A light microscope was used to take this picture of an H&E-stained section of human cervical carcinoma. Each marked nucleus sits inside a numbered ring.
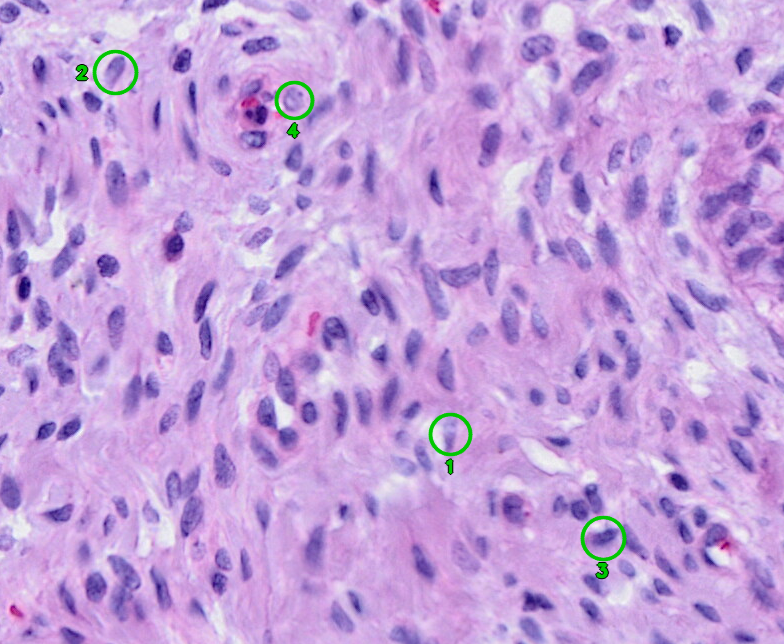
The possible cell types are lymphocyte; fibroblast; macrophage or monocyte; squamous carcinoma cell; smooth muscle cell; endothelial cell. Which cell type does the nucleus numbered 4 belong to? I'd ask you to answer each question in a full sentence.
Number 4 among the marked cells is an endothelial cell.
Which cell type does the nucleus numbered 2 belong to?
Within this field of view, the cell labelled 2 is a fibroblast.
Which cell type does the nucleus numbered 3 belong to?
As for number 3, that cell is a fibroblast.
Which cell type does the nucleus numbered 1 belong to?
Belonging to a fibroblast is the nucleus that carries the number 1.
